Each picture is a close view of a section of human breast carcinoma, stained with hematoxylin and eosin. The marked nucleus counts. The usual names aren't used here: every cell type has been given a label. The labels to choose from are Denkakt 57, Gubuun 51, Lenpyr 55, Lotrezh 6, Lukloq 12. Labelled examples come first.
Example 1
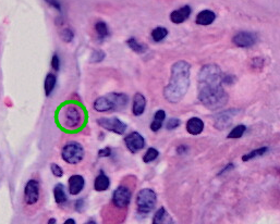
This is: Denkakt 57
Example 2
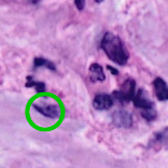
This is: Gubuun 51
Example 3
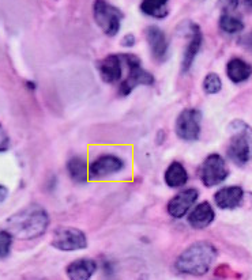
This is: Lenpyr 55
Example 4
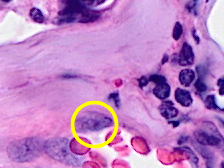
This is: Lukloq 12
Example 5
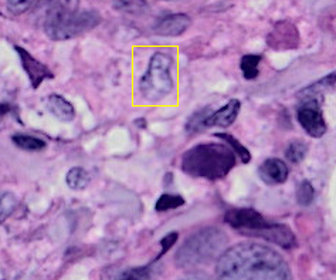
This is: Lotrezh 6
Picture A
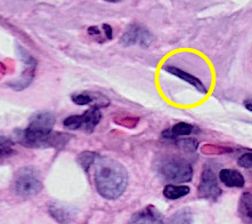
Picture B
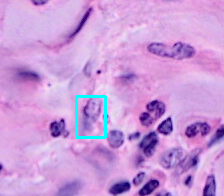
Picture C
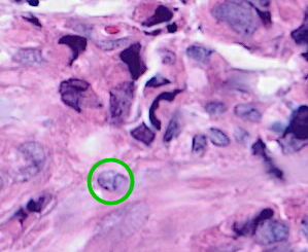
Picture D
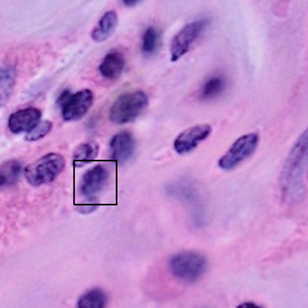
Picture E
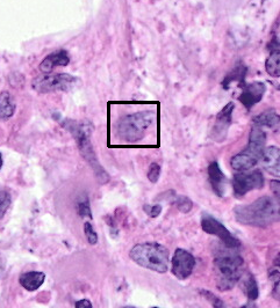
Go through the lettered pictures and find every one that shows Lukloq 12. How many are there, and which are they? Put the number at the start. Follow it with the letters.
0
